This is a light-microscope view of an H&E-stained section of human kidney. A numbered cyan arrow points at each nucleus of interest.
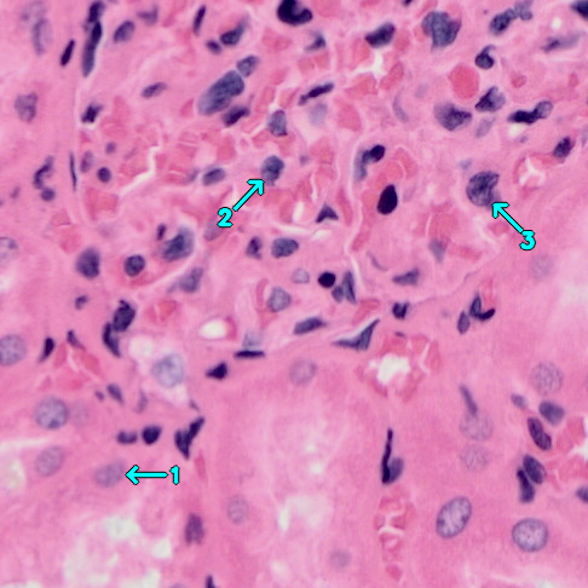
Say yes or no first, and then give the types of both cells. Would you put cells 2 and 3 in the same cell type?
Yes, the cell labelled 2 and the cell labelled 3 are both endothelial cells.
